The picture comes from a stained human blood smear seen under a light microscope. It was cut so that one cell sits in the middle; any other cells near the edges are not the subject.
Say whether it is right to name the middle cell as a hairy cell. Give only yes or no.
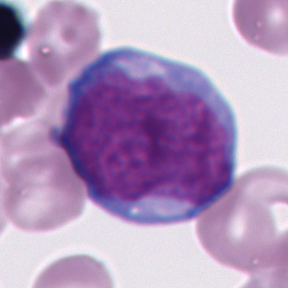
no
